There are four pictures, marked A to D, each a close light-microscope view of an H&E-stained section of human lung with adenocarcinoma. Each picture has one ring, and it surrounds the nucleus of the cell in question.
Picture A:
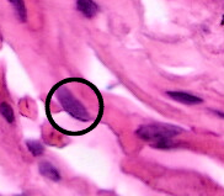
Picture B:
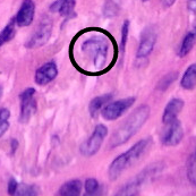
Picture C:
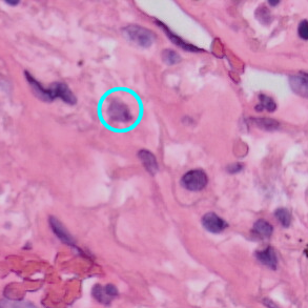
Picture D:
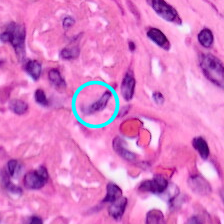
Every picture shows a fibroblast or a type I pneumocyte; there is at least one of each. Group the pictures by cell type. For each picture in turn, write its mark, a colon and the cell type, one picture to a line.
A: type I pneumocyte
B: fibroblast
C: fibroblast
D: fibroblast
